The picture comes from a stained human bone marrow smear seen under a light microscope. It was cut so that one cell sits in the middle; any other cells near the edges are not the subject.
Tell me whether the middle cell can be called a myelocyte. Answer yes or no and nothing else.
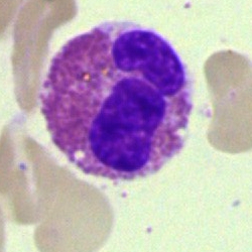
no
